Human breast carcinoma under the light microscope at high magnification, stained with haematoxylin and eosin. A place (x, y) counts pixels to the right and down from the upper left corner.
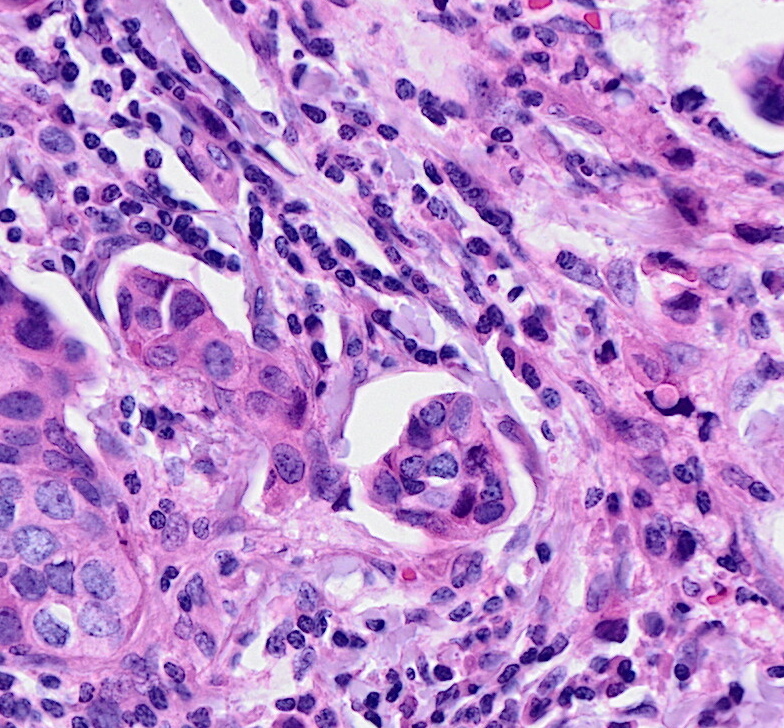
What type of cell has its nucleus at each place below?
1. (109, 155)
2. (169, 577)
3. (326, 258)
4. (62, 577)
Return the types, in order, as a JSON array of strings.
["lymphocyte", "lymphocyte", "lymphocyte", "carcinoma cell"]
